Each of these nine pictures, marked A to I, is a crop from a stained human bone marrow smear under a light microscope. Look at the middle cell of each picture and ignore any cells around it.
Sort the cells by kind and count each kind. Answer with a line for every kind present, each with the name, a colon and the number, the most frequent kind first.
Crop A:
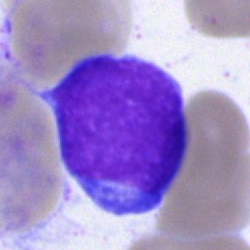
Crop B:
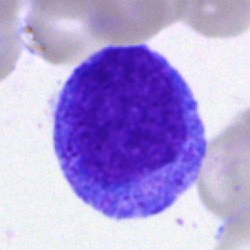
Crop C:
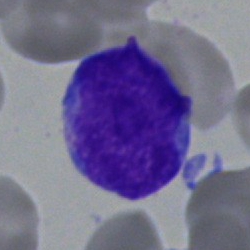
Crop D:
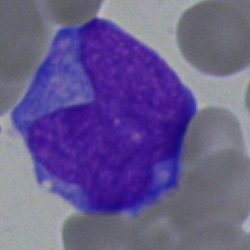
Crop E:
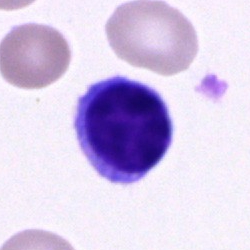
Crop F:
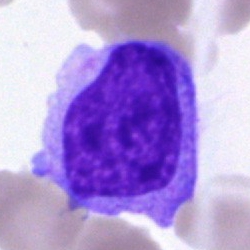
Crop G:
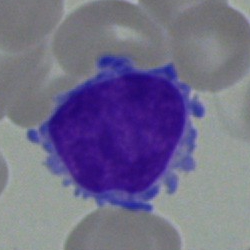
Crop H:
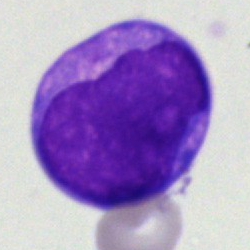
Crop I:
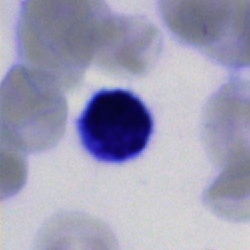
blast: 7
lymphocyte: 2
